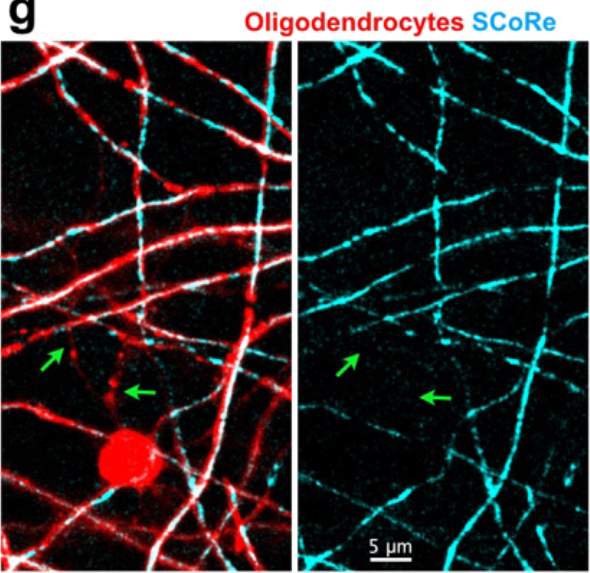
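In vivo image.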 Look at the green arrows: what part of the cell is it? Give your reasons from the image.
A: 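Proximal processes. The arrowed thin red branches run from a red cell body. The arrowed branches show no cyan in the right image.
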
